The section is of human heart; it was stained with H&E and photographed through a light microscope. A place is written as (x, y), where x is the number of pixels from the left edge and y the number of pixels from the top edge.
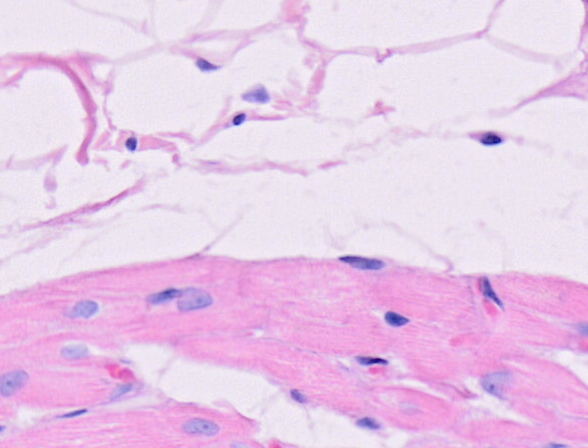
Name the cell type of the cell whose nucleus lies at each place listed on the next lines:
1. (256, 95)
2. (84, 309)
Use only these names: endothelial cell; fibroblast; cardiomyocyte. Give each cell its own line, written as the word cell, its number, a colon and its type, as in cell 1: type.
cell 1: fibroblast
cell 2: cardiomyocyte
